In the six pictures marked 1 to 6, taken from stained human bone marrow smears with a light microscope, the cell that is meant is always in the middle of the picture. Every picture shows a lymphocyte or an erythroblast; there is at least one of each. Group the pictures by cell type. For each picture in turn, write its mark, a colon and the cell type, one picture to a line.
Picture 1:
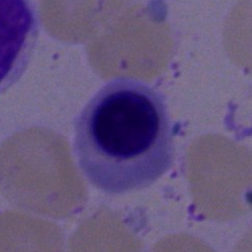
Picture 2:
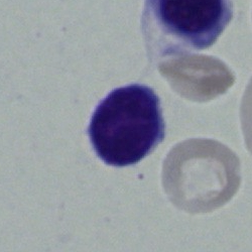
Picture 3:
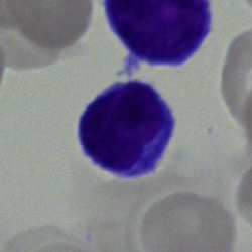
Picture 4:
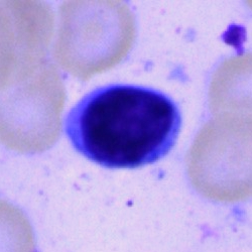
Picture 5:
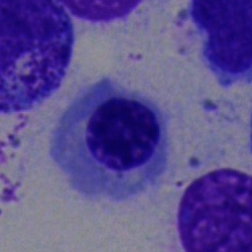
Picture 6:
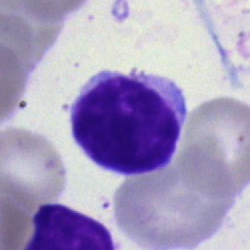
1: erythroblast
2: lymphocyte
3: lymphocyte
4: lymphocyte
5: erythroblast
6: lymphocyte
